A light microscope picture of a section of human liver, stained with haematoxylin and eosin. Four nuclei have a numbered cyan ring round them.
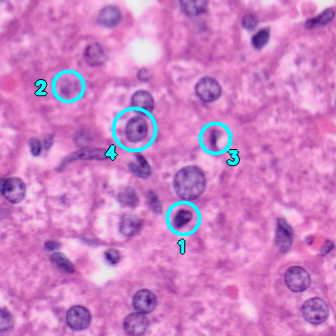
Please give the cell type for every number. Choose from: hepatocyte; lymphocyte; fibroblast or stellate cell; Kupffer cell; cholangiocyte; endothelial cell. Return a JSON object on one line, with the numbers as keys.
{"1": "lymphocyte", "2": "hepatocyte", "3": "endothelial cell", "4": "hepatocyte"}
